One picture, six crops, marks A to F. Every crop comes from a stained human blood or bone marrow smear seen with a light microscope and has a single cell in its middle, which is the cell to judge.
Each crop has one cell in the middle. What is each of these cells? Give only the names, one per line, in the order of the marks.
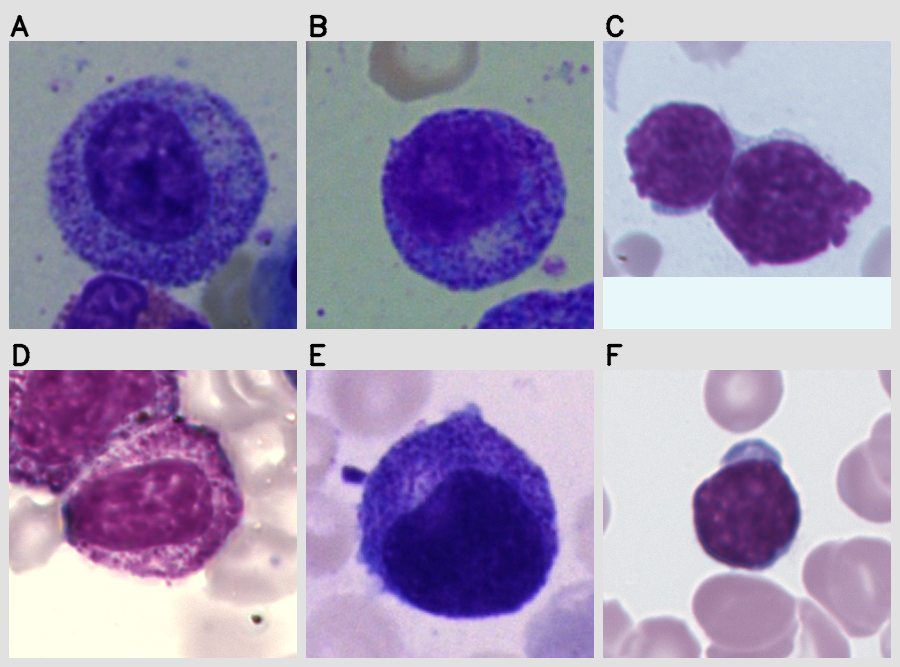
myelocyte
myelocyte
blast
myelocyte
promyelocyte
blast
